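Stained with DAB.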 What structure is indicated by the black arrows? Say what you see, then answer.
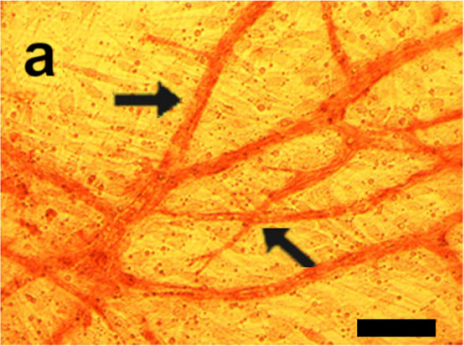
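Dark orange-brown stained cords branch and interconnect across the field. The cords are elongated and tube-like, forming a network over a paler background.
Vasculature.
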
